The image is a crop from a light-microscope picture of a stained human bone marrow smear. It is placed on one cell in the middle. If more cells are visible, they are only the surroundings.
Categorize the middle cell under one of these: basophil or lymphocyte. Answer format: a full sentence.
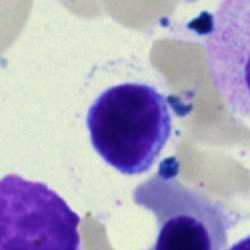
The crop's centre is taken up by a lymphocyte.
